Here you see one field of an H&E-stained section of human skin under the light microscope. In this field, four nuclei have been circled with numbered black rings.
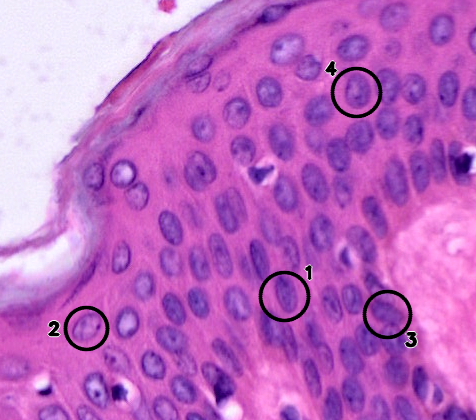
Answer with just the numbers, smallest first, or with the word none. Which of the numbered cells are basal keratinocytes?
3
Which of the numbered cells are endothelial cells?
none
